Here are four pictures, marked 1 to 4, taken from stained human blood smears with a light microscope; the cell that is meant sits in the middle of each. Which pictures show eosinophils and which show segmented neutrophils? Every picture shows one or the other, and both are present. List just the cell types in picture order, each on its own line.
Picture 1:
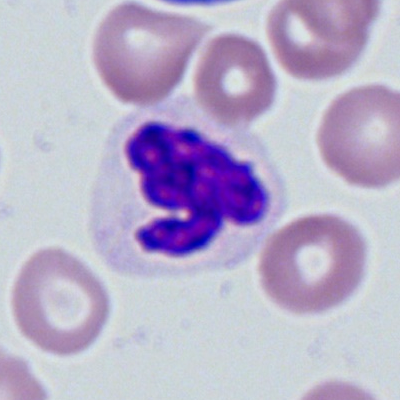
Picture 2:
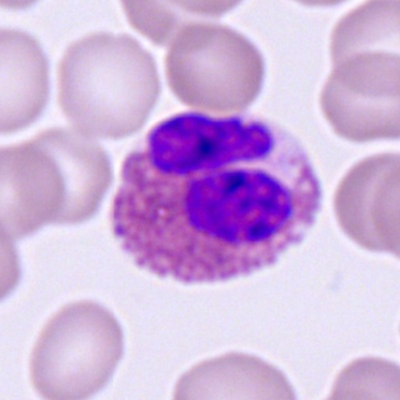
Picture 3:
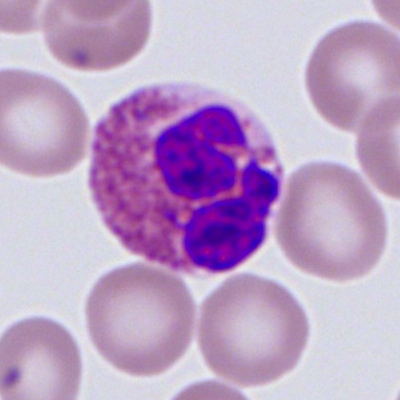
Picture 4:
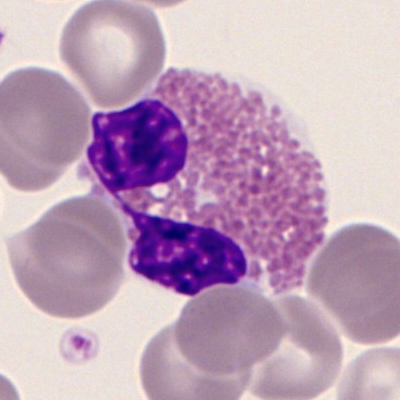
segmented neutrophil
eosinophil
eosinophil
eosinophil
